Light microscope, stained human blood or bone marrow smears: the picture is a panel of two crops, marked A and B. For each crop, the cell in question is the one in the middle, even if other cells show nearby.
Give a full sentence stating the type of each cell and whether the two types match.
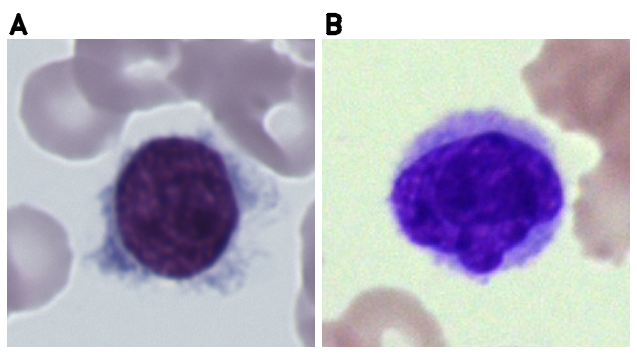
No, the cell that crop A shows is a hairy cell, and the one crop B shows is a monocyte.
